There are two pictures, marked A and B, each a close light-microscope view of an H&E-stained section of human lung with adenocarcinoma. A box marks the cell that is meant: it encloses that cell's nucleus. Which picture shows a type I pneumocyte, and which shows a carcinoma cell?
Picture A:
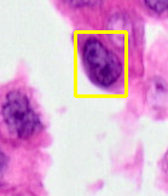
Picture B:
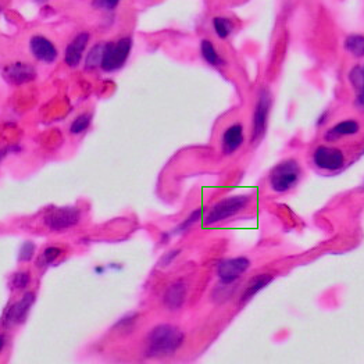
A: carcinoma cell
B: type I pneumocyte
